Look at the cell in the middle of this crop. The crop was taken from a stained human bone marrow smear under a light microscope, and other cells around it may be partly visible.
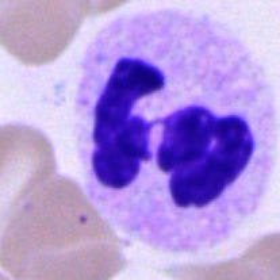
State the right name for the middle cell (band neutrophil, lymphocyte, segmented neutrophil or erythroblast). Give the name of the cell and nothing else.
segmented neutrophil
